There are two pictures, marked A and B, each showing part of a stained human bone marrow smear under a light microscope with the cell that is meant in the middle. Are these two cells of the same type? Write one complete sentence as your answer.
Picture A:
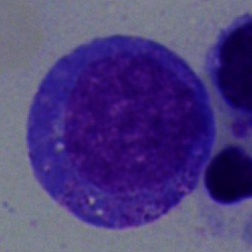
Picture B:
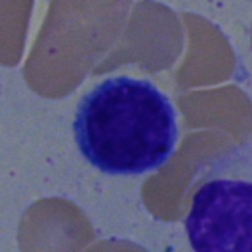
No, they differ: the cell is a blast in picture A and a lymphocyte in picture B.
